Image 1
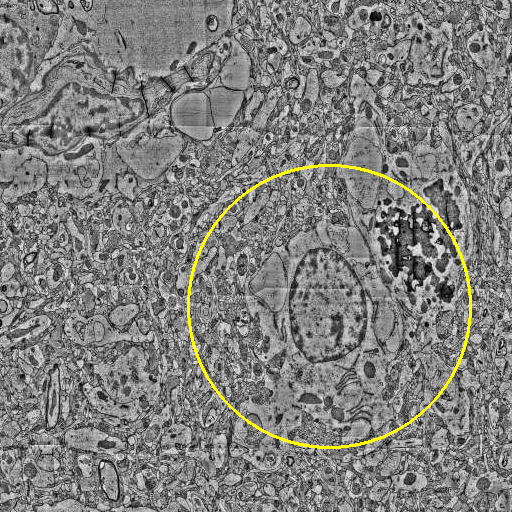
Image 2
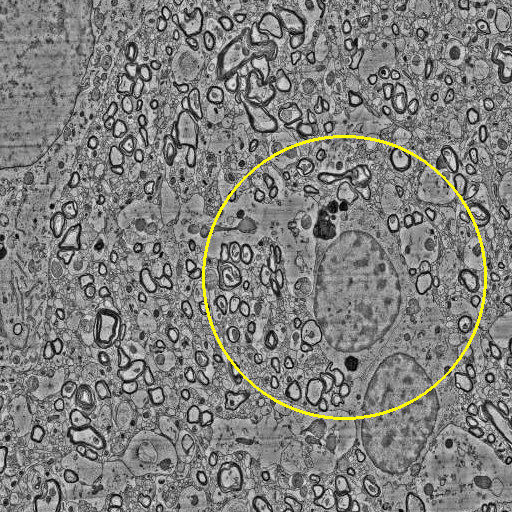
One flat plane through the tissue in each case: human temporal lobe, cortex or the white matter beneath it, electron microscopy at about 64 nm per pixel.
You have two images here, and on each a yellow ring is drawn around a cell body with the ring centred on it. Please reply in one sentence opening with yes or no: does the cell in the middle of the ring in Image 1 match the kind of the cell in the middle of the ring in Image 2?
No, the two images show cells of two kinds at the centres of their rings.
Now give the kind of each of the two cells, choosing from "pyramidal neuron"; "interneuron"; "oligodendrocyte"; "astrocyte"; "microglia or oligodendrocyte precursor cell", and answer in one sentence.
The cell in the first picture is an astrocyte, and the cell in the second is an oligodendrocyte.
